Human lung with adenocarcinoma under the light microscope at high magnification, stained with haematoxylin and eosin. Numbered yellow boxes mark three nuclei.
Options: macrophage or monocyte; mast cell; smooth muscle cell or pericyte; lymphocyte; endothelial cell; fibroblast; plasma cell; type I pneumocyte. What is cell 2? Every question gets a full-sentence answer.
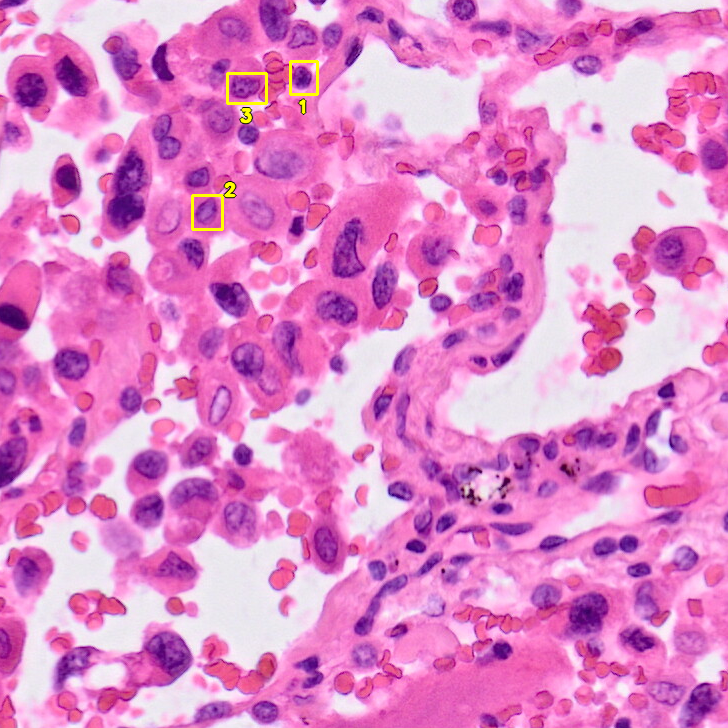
What the number 2 marks in this field is a macrophage or monocyte.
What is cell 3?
The cell carrying label 3 is identified as a macrophage or monocyte.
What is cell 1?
The cell that is numbered 1 is a lymphocyte.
